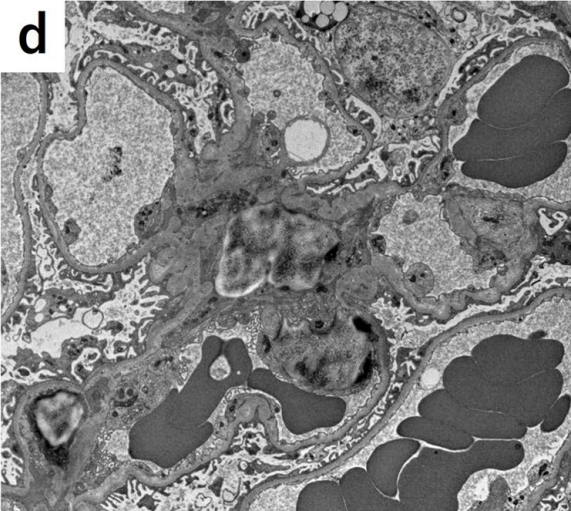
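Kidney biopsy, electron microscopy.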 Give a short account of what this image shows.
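Glomerulus by transmission electron microscopy, showing capillary loops and the cells around them. Several capillary lumina contain dense red blood cells and are bounded by thin, even basement membranes. Foot processes line the outer aspect of the basement membranes as a row of small projections.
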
